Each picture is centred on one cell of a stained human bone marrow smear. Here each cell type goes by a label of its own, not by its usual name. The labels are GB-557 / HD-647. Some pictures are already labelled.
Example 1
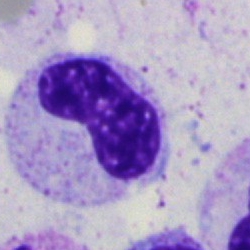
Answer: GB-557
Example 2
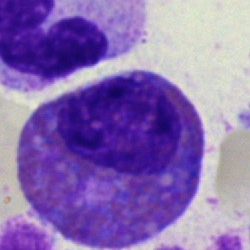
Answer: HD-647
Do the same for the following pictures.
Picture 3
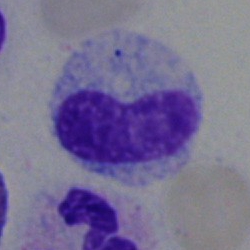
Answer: GB-557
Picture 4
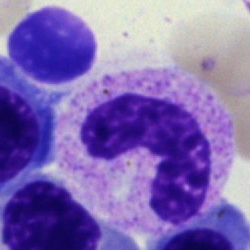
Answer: GB-557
